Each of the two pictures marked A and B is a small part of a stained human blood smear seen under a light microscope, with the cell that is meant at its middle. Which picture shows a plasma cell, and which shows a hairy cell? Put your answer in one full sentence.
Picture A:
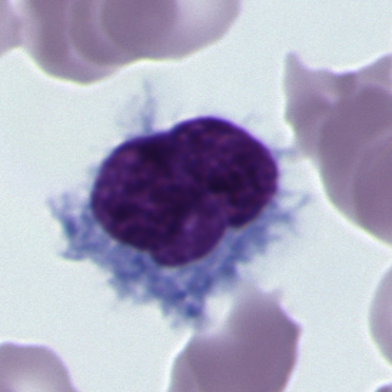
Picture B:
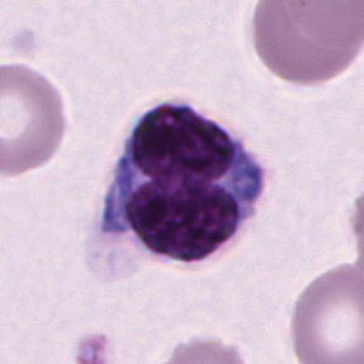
Picture A is of a hairy cell, and picture B is of a plasma cell.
